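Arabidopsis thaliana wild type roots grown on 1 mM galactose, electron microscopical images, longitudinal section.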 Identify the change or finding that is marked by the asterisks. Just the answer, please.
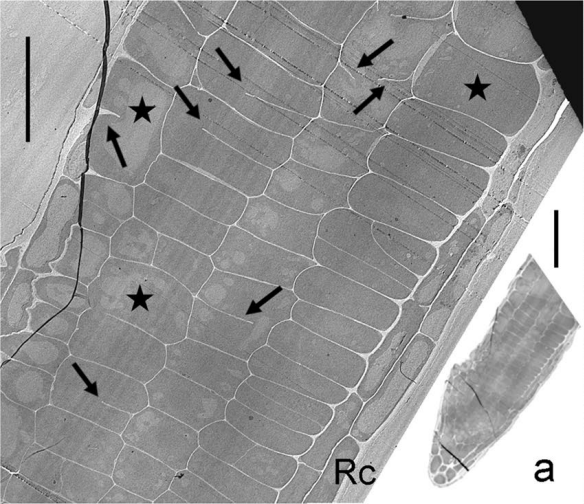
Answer: Enlarged cells.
